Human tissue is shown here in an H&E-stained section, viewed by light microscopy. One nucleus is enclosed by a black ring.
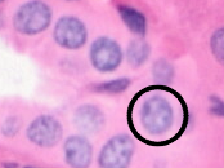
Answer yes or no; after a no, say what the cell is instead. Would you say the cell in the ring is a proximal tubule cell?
No, it is a collecting duct cell.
